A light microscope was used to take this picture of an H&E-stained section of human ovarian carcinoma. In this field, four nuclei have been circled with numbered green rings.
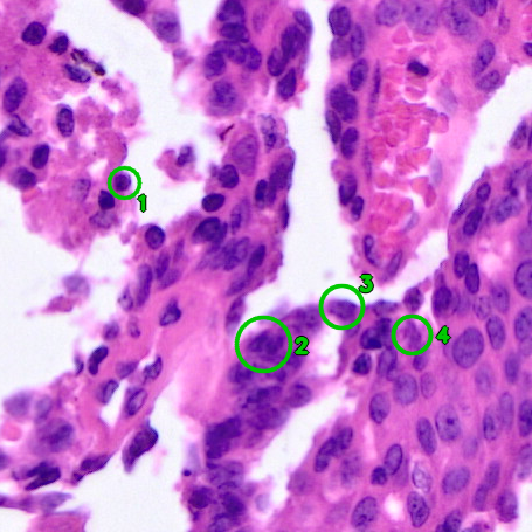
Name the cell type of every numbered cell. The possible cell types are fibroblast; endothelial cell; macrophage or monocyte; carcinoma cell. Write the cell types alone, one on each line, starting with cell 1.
macrophage or monocyte
carcinoma cell
carcinoma cell
carcinoma cell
